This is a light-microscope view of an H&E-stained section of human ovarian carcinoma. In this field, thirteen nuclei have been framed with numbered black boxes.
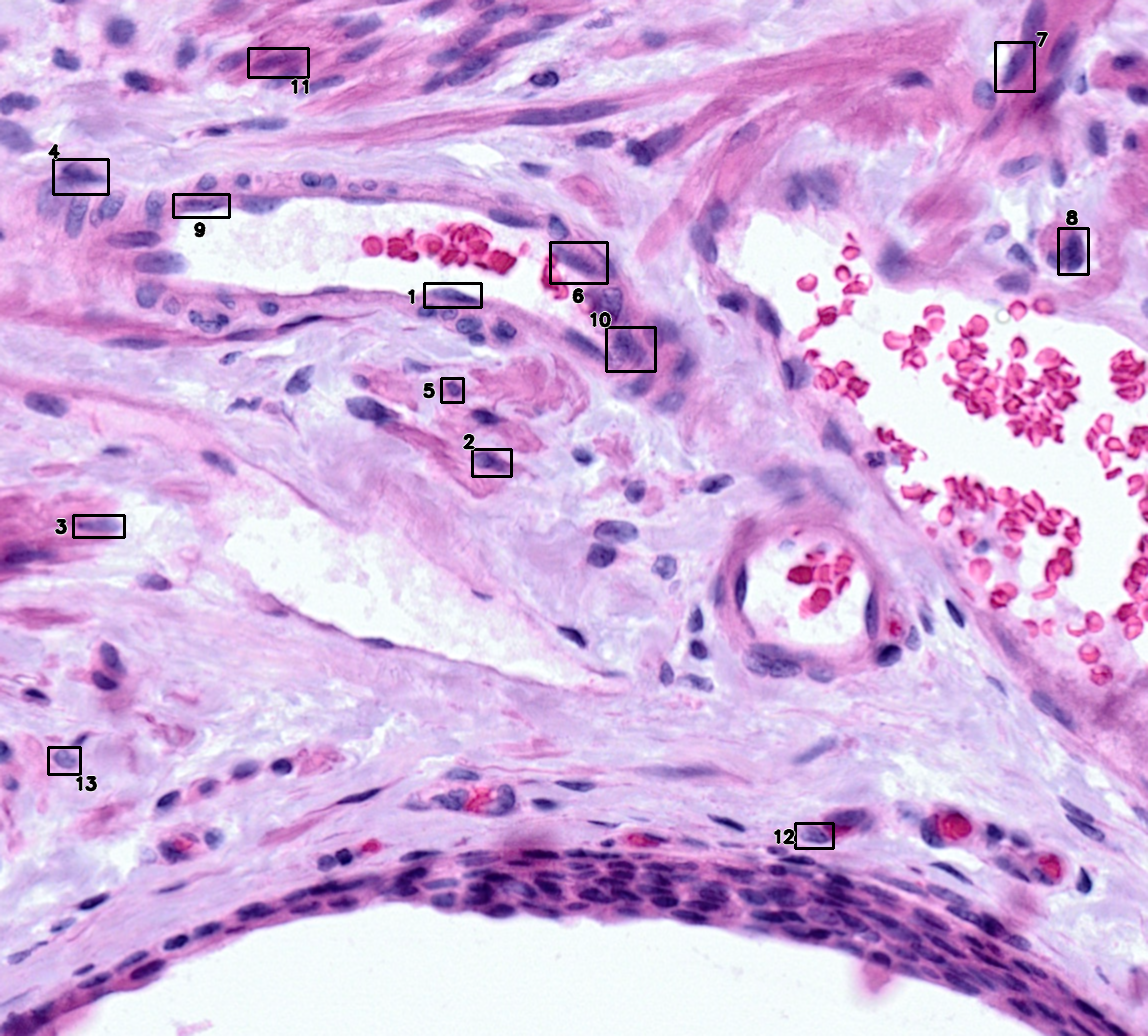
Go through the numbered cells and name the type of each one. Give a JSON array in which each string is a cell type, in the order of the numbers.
["endothelial cell", "smooth muscle cell", "smooth muscle cell", "fibroblast", "smooth muscle cell", "endothelial cell", "smooth muscle cell", "smooth muscle cell", "endothelial cell", "endothelial cell", "smooth muscle cell", "endothelial cell", "smooth muscle cell"]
